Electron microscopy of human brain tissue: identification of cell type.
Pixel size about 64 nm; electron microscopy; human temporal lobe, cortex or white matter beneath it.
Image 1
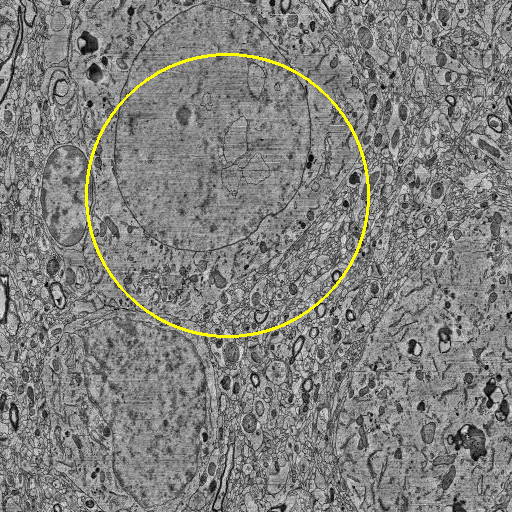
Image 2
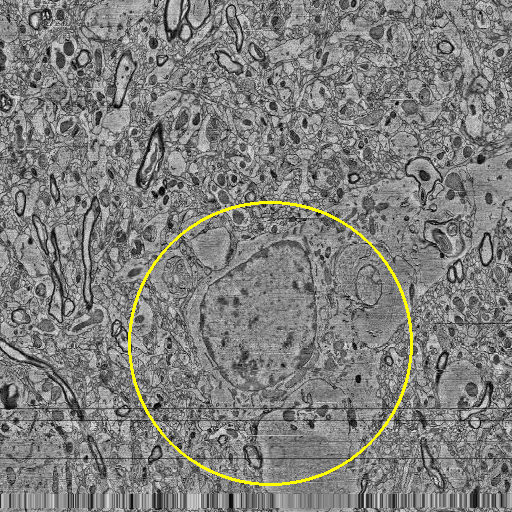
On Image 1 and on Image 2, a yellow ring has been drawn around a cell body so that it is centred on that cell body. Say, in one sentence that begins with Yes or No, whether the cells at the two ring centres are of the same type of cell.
No, the two cells are two separate types of cell.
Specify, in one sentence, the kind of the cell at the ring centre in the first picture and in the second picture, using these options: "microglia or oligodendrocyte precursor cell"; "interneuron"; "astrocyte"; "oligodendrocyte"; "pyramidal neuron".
So the first is a pyramidal neuron, the second a microglial cell or oligodendrocyte precursor cell.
